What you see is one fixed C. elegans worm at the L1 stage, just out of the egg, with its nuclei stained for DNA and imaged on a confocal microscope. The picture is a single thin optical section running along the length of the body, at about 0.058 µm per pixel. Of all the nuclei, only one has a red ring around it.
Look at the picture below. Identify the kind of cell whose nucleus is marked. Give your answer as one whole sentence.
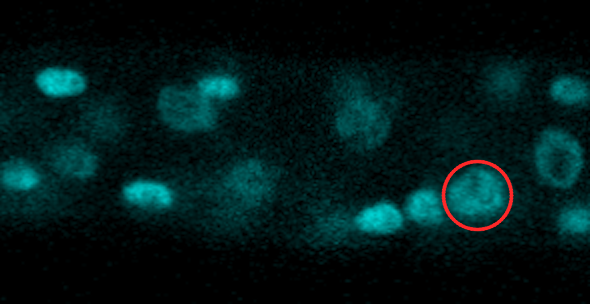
It is the nucleus of a germ line precursor.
